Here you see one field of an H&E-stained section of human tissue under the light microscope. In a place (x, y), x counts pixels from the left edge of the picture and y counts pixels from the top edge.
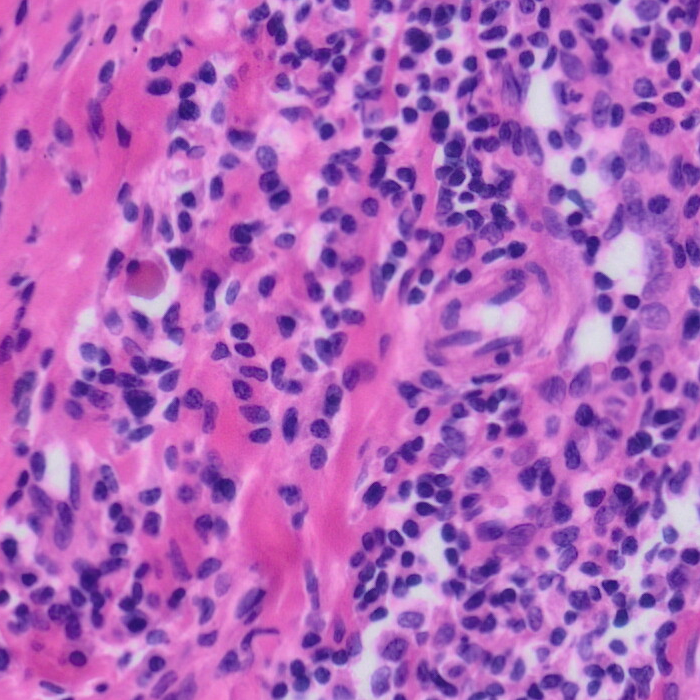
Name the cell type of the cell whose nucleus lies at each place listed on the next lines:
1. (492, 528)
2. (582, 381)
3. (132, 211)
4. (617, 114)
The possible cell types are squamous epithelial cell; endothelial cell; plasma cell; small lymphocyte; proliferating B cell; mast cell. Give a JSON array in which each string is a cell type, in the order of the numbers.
["endothelial cell", "endothelial cell", "mast cell", "endothelial cell"]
